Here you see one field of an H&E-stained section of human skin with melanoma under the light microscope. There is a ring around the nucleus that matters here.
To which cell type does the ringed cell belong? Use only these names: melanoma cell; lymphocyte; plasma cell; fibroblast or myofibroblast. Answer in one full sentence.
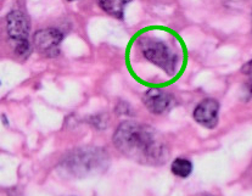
At the level of cell identity, the ringed cell is a melanoma cell.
